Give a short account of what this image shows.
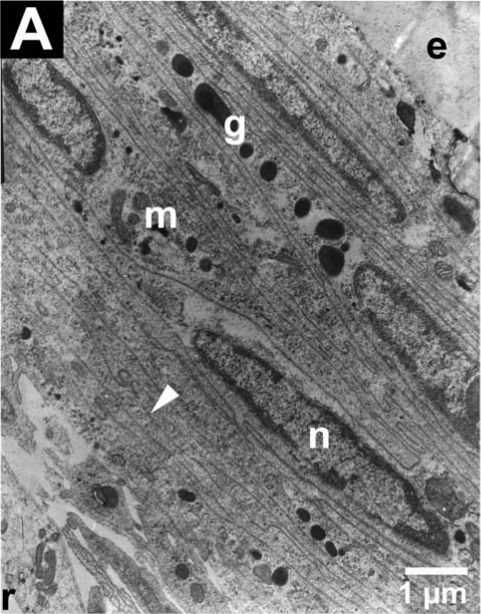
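Flattened, spindle-shaped semi-granular haemocytes lie packed in parallel in the wall of a capsule. Their nuclei are long and oval with a dark peripheral rim of condensed chromatin. The cytoplasm holds round, uniformly electron-dense granules of varying size and scattered mitochondria, and is streaked with fine parallel filaments along the long axis of the cells. Some elongated cell profiles show only fibrous material with no nucleus or granules. Toward the resin side the profiles become more irregular with pale spaces between them.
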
